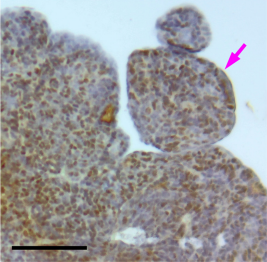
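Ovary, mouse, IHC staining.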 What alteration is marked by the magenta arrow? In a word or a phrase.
Outgrowths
